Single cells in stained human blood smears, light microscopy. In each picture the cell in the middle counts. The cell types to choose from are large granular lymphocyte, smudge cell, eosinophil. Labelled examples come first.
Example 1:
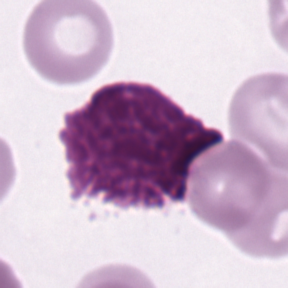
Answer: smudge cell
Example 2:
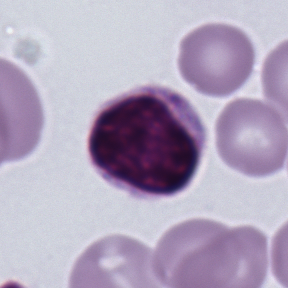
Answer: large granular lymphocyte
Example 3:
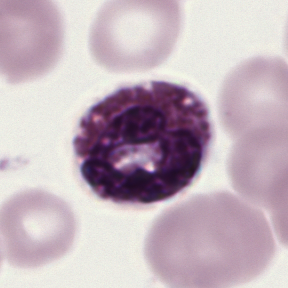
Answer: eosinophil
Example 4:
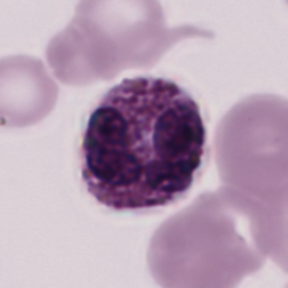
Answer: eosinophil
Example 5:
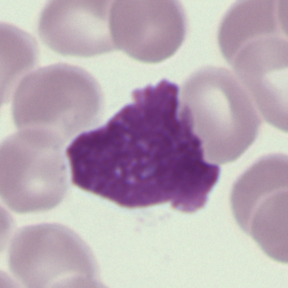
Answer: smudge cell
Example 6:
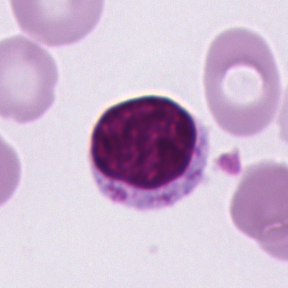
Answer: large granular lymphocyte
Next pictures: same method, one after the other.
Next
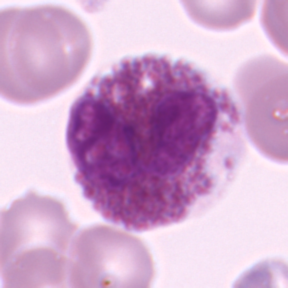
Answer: eosinophil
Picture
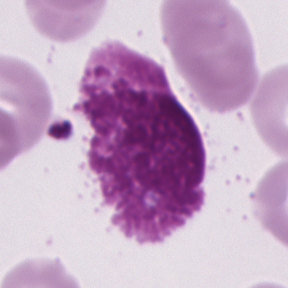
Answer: smudge cell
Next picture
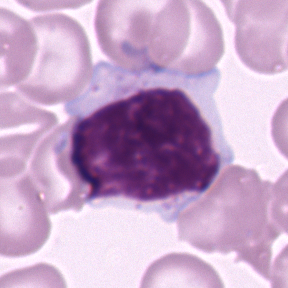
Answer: large granular lymphocyte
